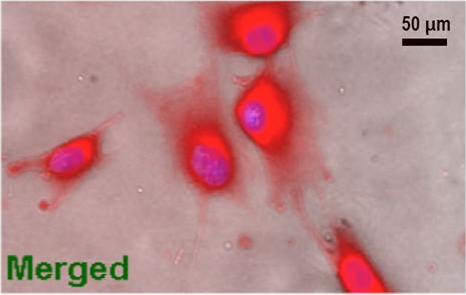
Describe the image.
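Red fluorescence fills the cytoplasm around the nucleus and extends faintly into thin, tapering processes. The cells are elongated or polygonal, with a bright, compact central body and fainter red margins that spread over the substrate. The cells are well separated from one another rather than forming a continuous layer.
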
